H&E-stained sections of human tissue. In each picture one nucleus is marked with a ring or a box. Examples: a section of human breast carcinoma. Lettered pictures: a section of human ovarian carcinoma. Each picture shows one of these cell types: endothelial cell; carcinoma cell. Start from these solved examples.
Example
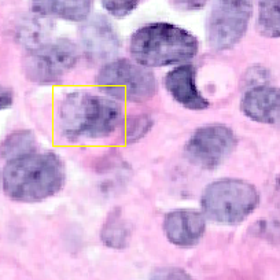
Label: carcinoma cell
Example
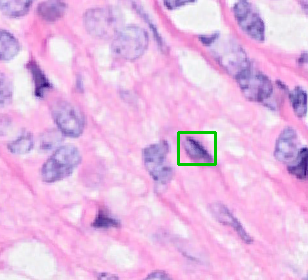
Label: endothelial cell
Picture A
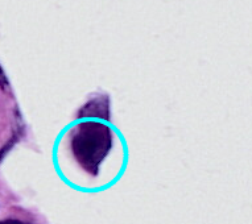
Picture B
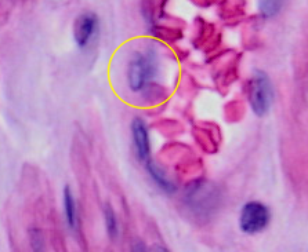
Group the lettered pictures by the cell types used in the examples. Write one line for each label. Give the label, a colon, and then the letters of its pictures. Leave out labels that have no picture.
endothelial cell: B
carcinoma cell: A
